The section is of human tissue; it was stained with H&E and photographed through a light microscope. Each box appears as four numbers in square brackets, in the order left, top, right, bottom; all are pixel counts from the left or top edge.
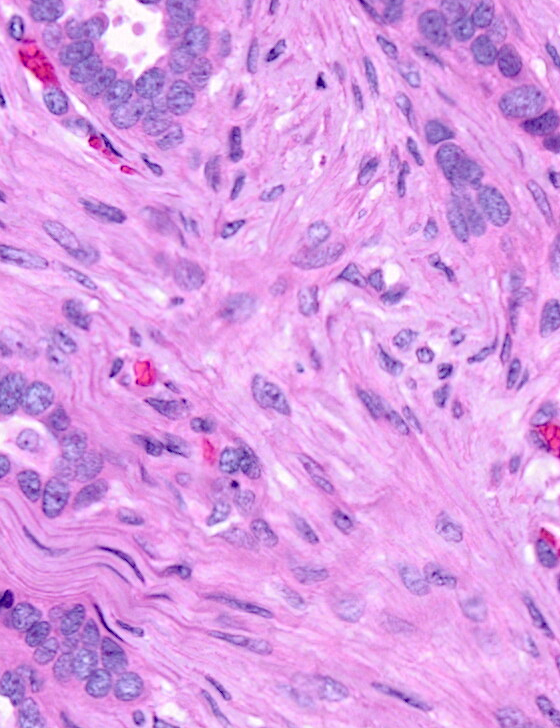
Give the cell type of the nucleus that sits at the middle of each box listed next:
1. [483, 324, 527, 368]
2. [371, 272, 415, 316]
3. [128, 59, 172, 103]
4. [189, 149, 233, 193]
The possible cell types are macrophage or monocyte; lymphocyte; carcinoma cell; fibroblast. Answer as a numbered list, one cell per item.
1. fibroblast
2. fibroblast
3. carcinoma cell
4. fibroblast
